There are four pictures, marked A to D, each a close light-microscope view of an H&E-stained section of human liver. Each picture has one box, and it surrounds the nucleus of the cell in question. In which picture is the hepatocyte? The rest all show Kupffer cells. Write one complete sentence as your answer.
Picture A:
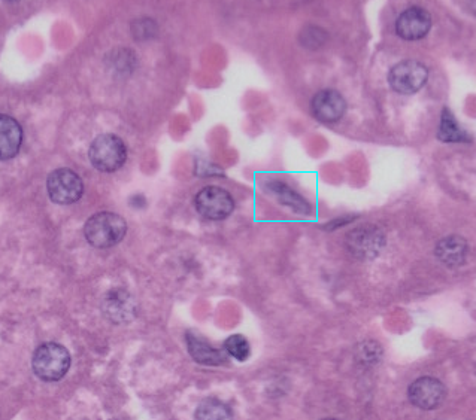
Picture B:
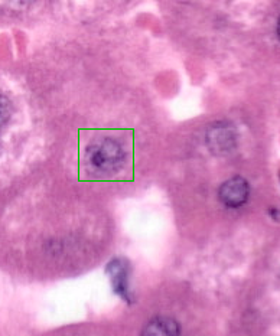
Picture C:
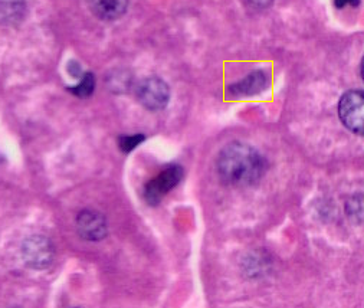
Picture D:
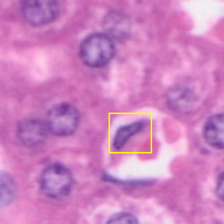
The picture with the hepatocyte is B.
